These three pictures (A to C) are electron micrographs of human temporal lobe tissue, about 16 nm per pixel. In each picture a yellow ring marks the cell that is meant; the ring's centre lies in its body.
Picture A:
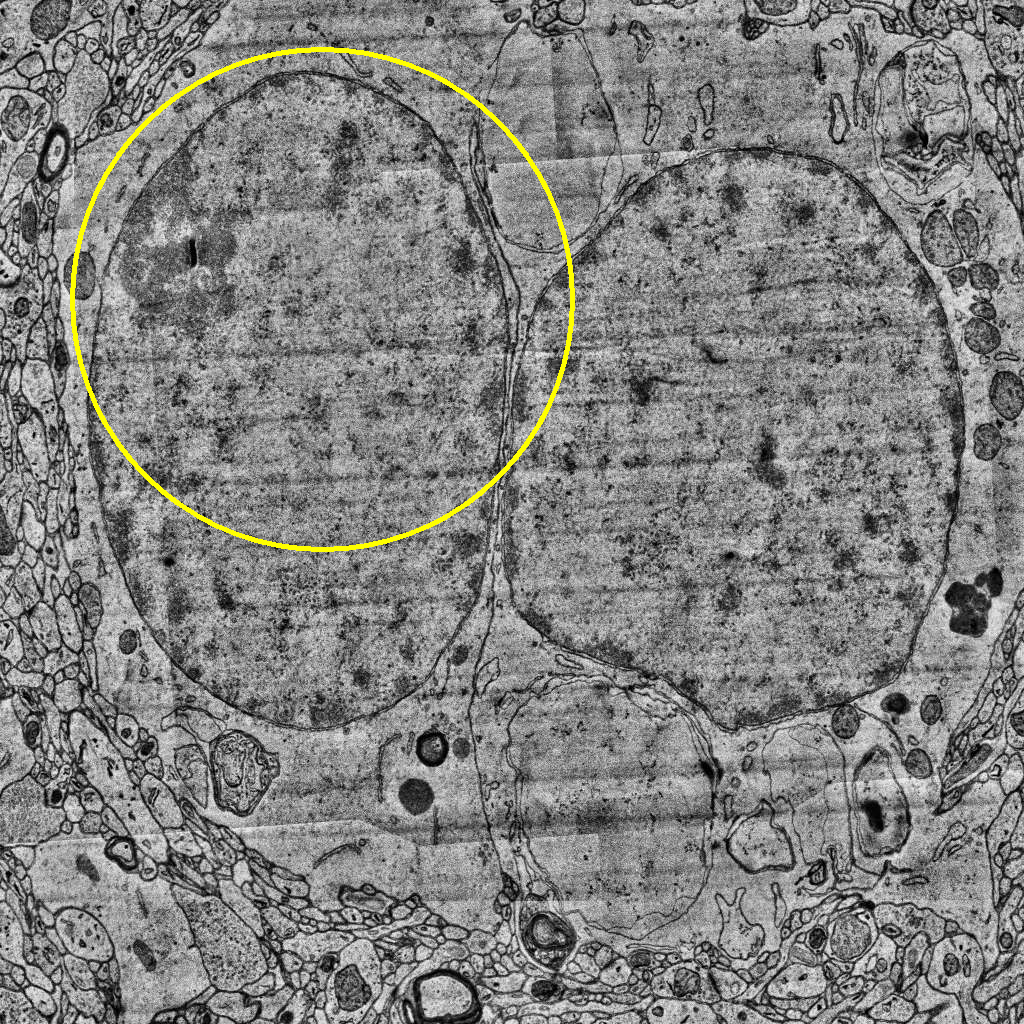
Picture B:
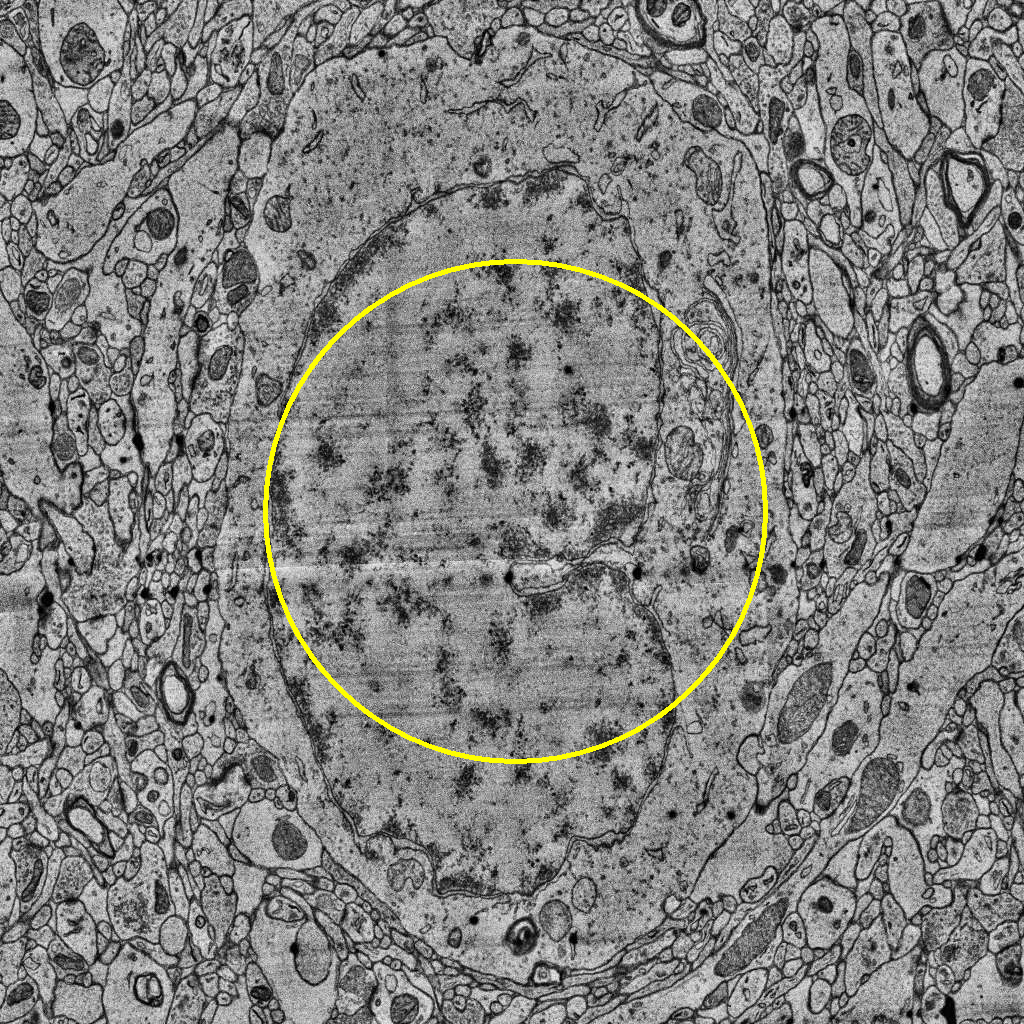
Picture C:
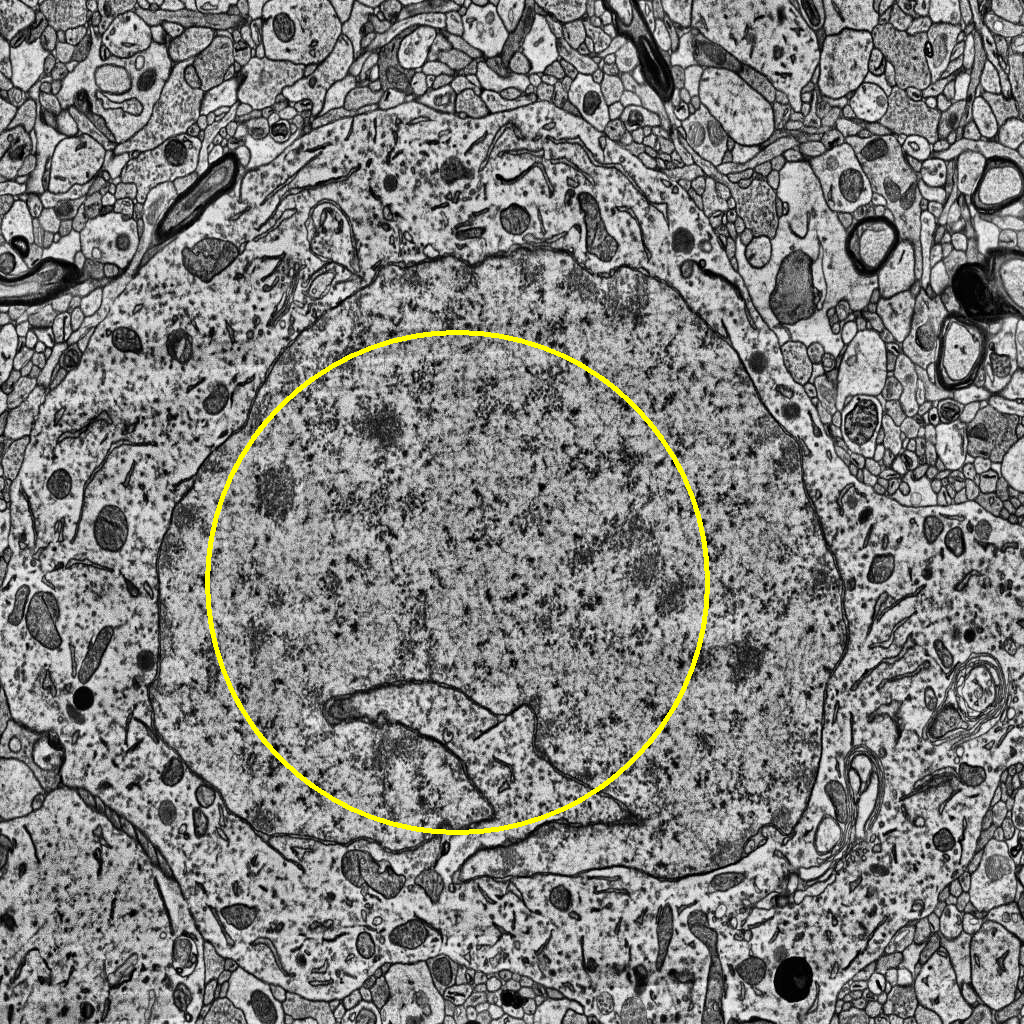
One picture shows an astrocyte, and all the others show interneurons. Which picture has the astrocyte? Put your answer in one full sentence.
It is picture A that shows the astrocyte.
